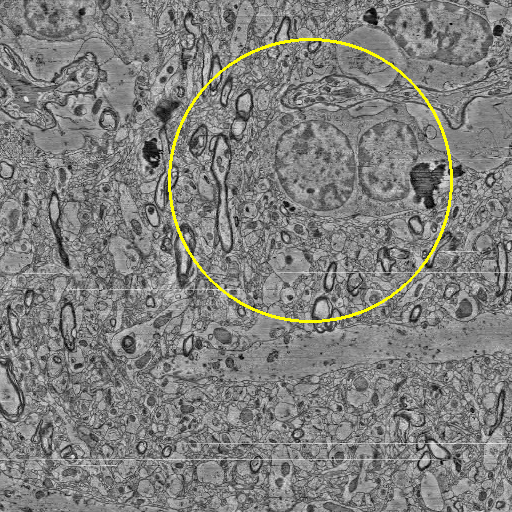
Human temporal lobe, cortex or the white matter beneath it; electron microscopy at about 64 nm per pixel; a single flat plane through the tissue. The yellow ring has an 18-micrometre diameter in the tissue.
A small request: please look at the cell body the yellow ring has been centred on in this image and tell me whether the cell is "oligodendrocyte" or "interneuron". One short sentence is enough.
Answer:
The cell marked by the ring is an oligodendrocyte.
